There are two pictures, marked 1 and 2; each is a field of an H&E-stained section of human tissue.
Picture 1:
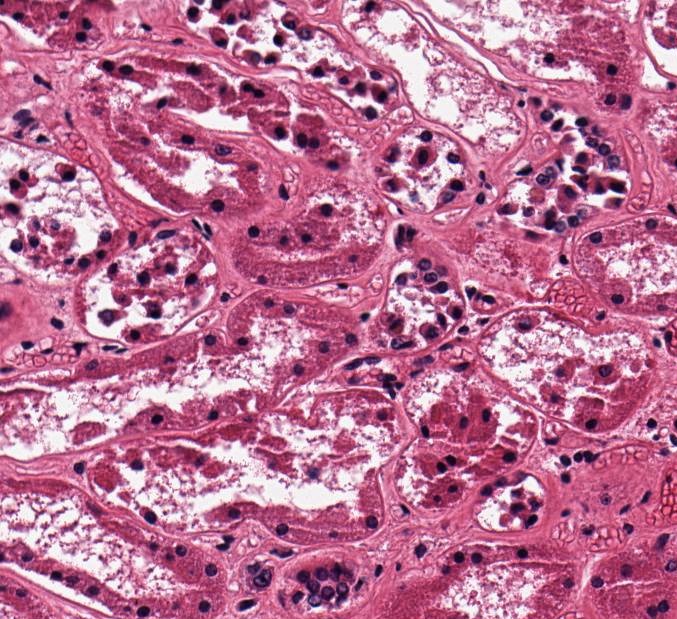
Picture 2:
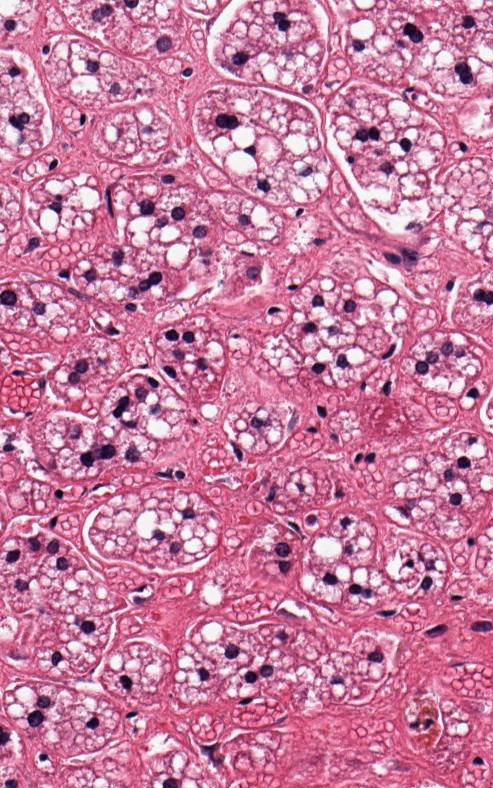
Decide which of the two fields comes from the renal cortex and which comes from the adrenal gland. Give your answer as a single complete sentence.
It is picture 1 that comes from the renal cortex, and picture 2 that comes from the adrenal gland.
